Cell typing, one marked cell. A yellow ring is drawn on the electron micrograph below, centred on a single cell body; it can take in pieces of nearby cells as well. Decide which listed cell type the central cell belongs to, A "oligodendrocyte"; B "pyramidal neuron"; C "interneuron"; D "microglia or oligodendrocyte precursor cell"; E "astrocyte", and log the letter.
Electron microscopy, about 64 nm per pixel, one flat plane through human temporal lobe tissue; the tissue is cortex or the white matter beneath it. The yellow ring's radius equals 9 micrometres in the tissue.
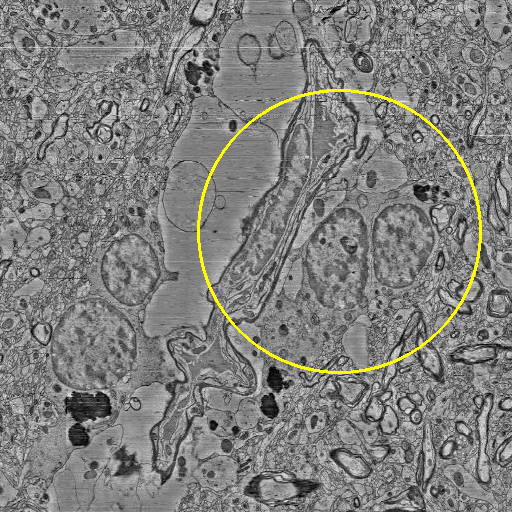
A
